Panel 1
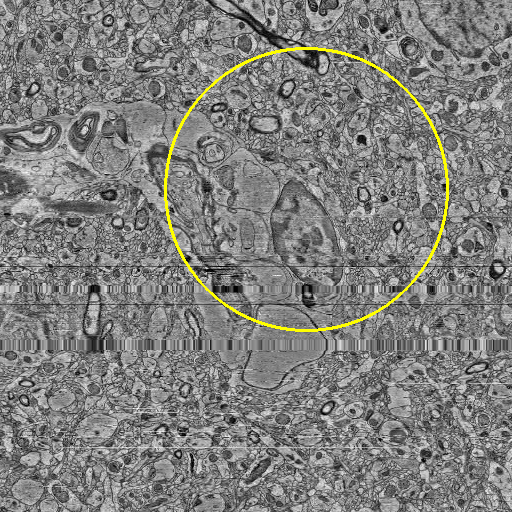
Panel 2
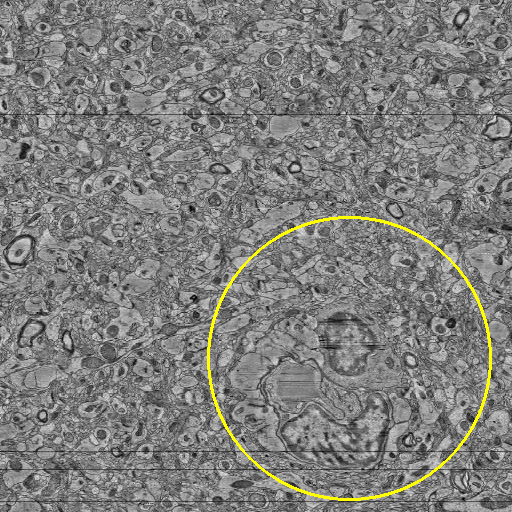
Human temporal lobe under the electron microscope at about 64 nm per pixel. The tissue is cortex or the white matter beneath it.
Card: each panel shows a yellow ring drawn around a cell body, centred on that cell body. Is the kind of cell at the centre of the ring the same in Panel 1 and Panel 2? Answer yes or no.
no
